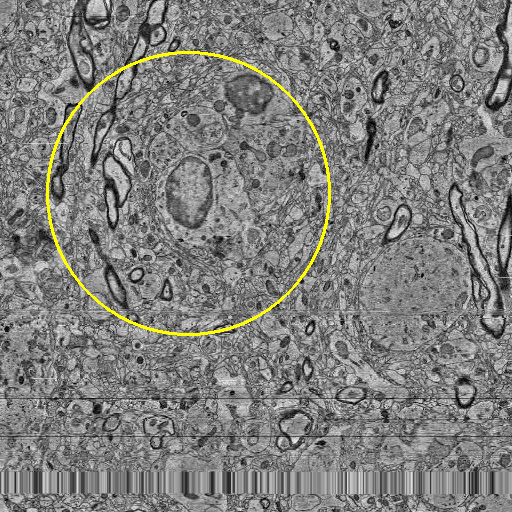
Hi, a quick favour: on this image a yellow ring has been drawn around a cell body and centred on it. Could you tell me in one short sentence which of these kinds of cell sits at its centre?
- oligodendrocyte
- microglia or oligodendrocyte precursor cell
The ring is centred on a microglial cell or oligodendrocyte precursor cell.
